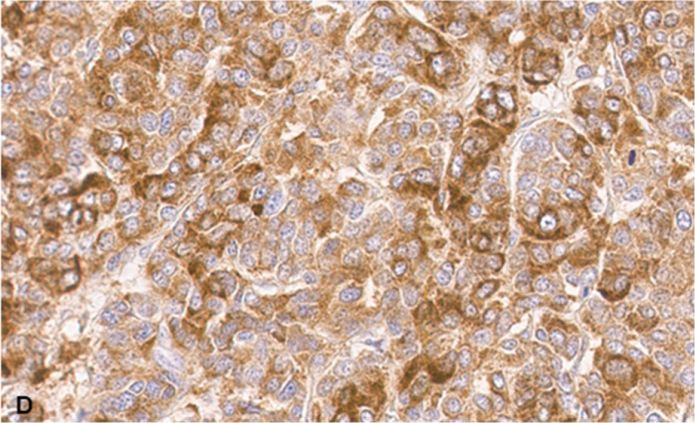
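This field shows sheets and nests of polygonal neoplastic cells separated by delicate strands of stroma. The cytoplasm of the tumour cells is stained brown, and the intensity varies, with some cells dark brown and granular and others paler. Nuclei are round to oval with vesicular chromatin, and several show a distinct nucleolus. Some cells are larger than their neighbours, so the nuclei vary somewhat in size.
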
